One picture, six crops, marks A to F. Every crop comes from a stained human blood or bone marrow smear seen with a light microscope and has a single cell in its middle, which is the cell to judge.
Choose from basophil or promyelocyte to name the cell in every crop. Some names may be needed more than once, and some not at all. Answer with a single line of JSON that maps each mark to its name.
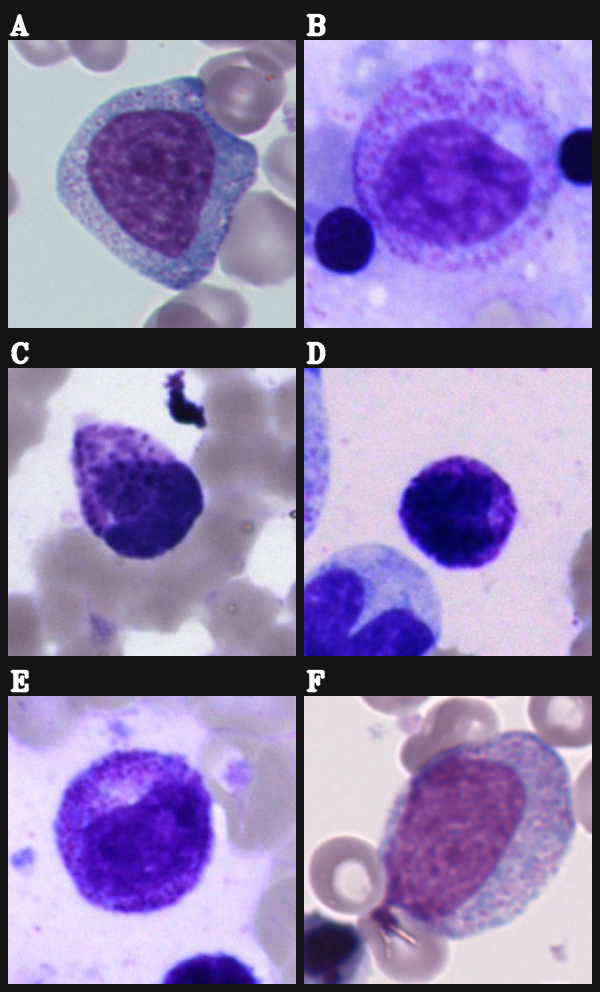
{"A": "promyelocyte", "B": "promyelocyte", "C": "basophil", "D": "basophil", "E": "promyelocyte", "F": "promyelocyte"}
